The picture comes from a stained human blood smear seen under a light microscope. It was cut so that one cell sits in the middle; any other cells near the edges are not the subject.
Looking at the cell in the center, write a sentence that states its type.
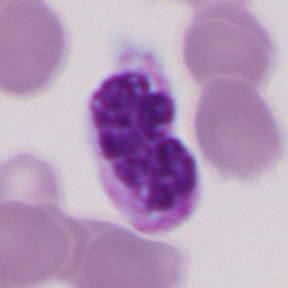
The cell positioned in the middle of the field is a neutrophil.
